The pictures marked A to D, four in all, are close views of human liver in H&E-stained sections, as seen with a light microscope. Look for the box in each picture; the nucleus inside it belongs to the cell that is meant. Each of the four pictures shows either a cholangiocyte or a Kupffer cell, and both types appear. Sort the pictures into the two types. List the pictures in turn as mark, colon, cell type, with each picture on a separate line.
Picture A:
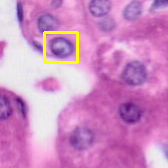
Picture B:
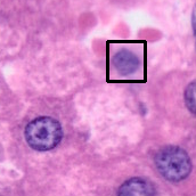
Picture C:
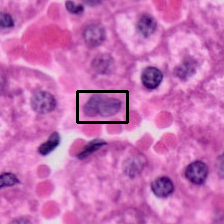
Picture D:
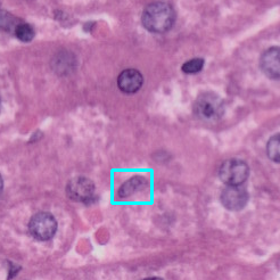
A: cholangiocyte
B: Kupffer cell
C: Kupffer cell
D: Kupffer cell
